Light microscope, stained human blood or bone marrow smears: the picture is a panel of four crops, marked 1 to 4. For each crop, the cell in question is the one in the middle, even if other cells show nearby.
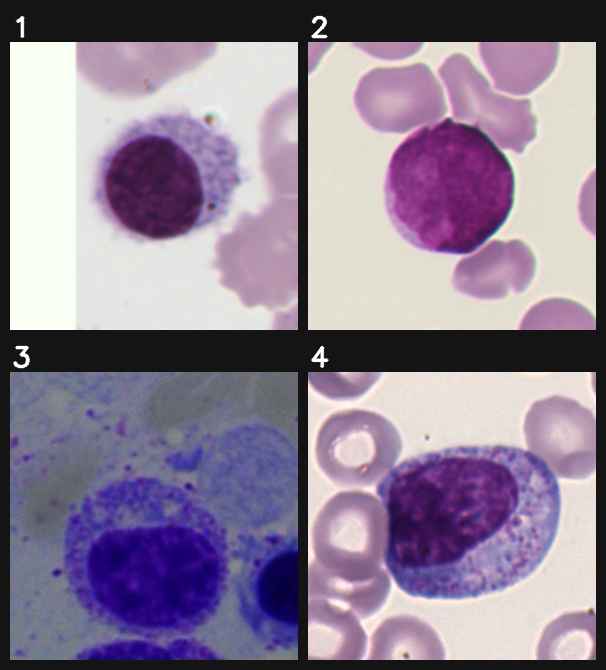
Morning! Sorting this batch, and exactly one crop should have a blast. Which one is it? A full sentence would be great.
Of the labelled crops, the one that shows a blast is crop 2.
